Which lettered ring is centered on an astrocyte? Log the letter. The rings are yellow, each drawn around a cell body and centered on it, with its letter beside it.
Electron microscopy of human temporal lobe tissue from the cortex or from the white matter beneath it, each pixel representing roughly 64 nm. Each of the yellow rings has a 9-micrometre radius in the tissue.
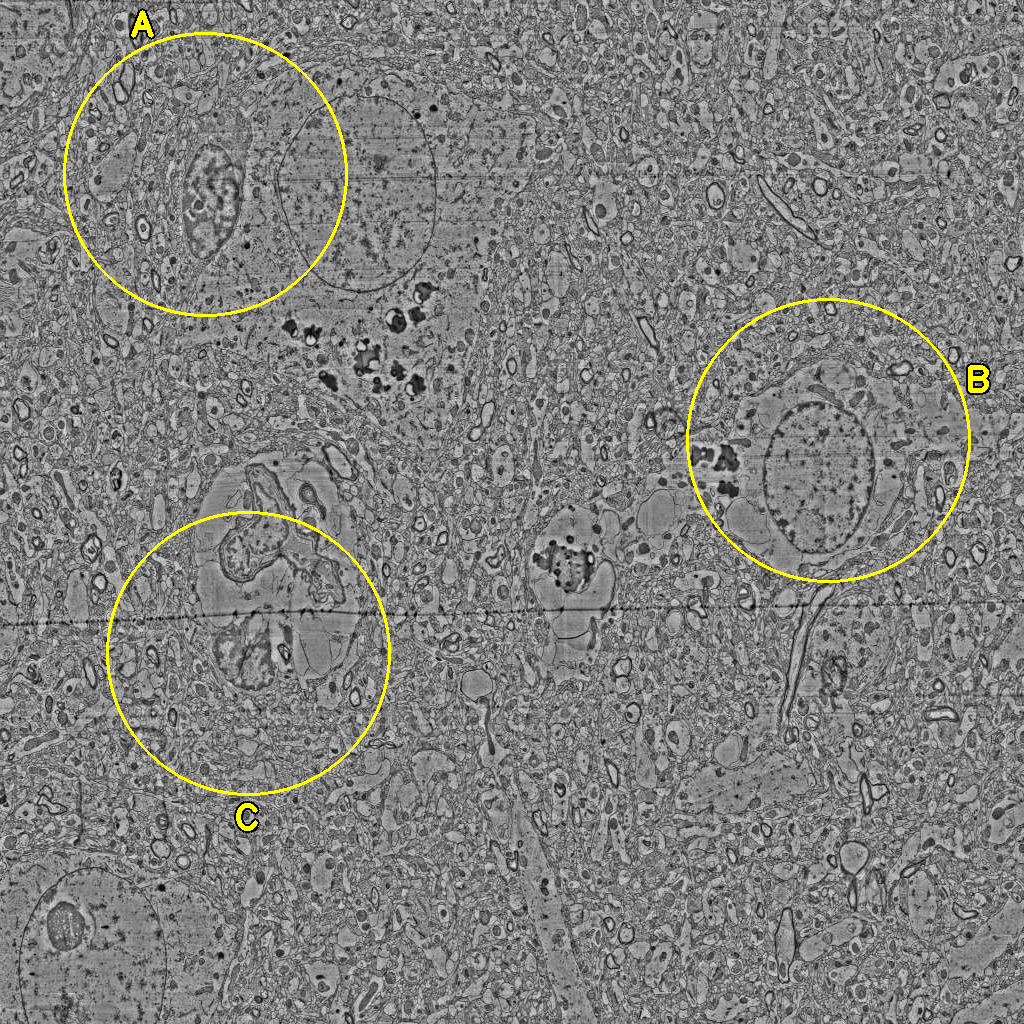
B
